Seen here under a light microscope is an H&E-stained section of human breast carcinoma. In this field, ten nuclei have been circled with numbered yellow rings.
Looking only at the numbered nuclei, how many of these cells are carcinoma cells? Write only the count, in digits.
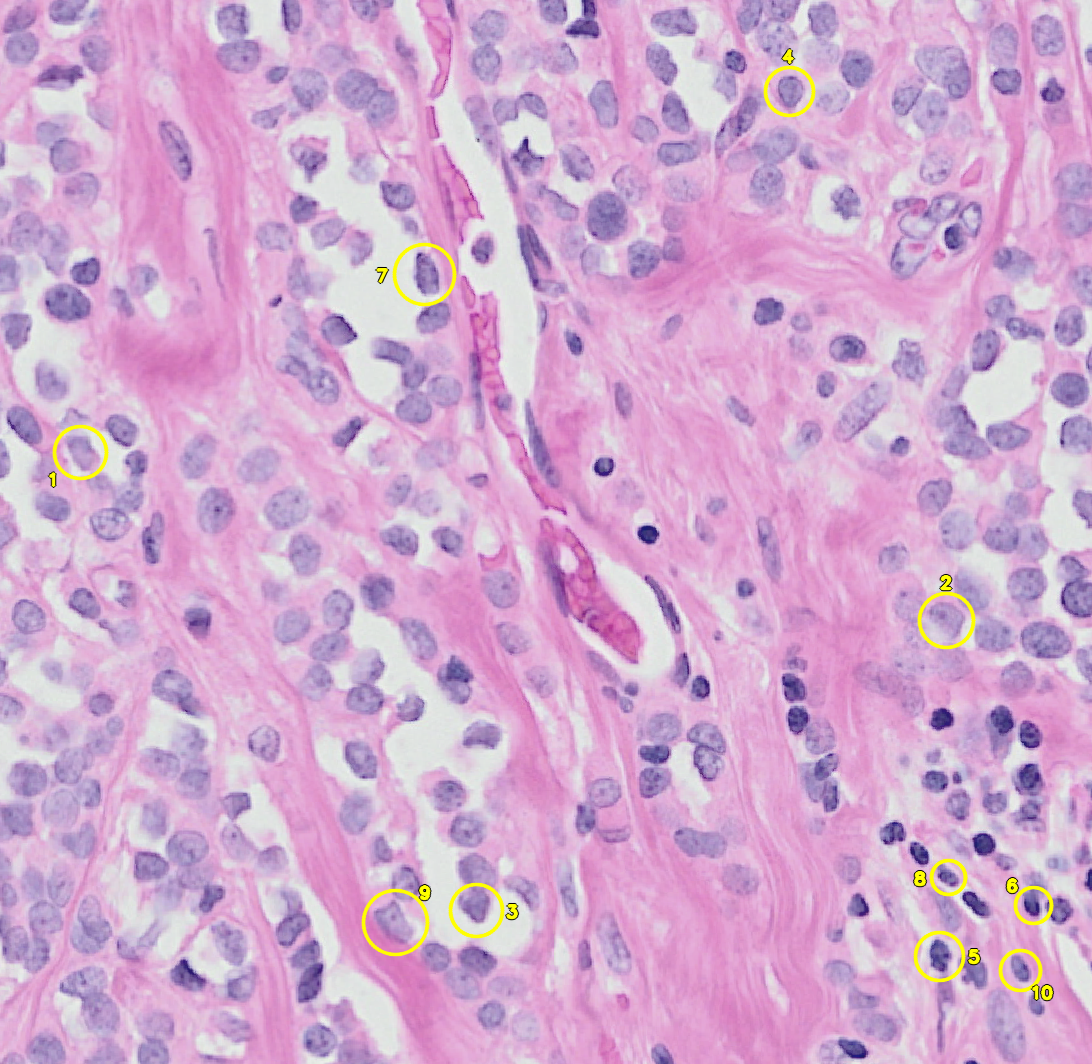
6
